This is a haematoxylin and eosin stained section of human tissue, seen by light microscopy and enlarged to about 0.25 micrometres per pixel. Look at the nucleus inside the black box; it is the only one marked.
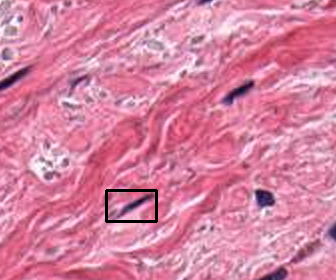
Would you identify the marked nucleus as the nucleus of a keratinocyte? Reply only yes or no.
no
